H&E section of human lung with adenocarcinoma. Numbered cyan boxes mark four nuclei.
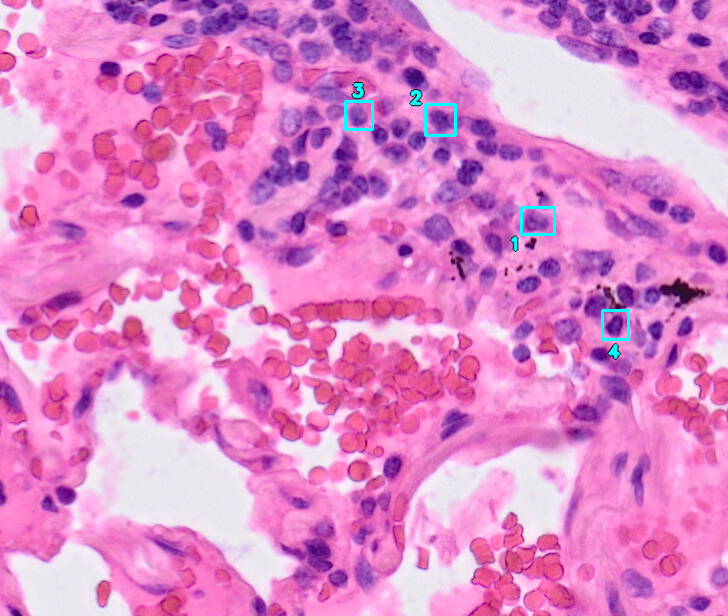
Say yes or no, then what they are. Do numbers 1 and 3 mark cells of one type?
No, cell 1 is a plasma cell, and cell 3, in contrast, is a lymphocyte.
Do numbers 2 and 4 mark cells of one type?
No, a plasma cell is what cell 4 is, while cell 2 is a lymphocyte.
